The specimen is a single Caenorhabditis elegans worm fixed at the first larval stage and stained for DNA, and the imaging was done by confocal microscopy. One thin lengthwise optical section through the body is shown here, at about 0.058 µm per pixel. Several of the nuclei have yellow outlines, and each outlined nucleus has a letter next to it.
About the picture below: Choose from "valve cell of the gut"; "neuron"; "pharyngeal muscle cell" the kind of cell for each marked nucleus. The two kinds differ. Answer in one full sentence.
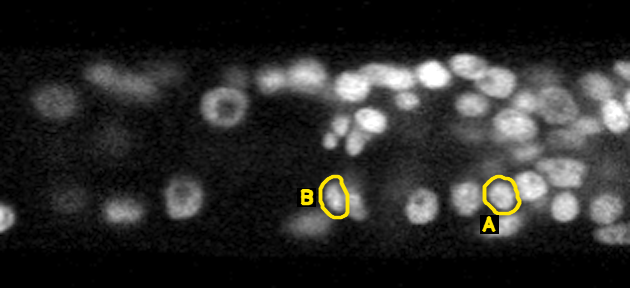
A is from a neuron, and B is from a valve cell of the gut.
